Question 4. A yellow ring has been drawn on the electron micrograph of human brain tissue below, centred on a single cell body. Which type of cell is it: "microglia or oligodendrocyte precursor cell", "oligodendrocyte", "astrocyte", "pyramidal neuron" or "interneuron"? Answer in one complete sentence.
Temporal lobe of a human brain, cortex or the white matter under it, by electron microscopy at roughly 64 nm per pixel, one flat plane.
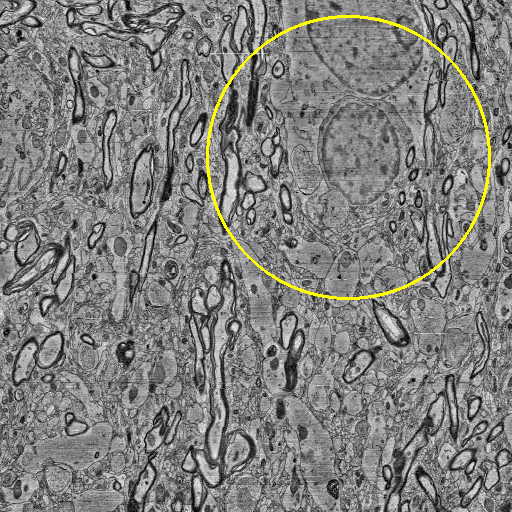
This cell body belongs to an oligodendrocyte.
